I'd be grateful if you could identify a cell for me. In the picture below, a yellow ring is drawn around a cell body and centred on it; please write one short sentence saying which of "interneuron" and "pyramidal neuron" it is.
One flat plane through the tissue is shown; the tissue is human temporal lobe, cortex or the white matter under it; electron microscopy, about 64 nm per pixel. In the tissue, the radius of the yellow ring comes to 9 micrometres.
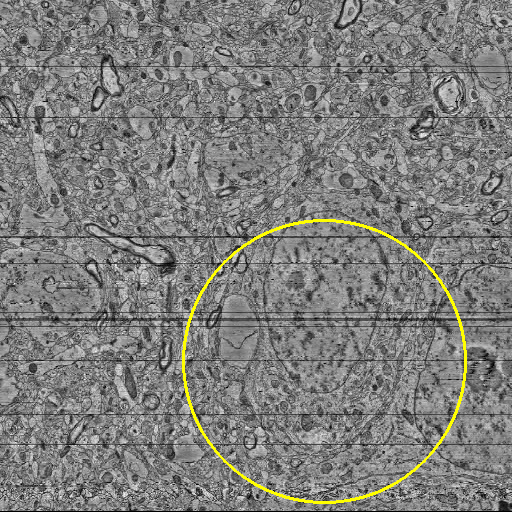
The cell under the ring's centre is an interneuron.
